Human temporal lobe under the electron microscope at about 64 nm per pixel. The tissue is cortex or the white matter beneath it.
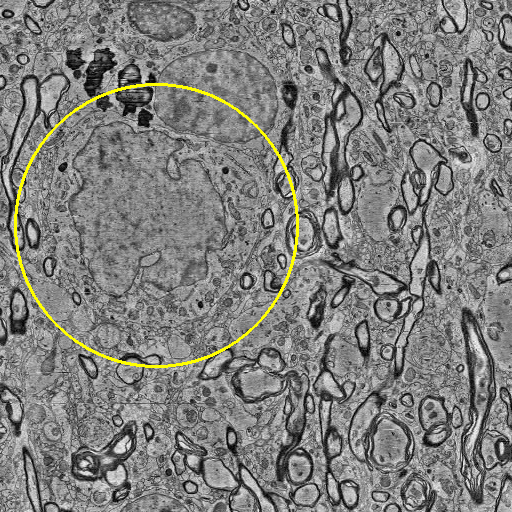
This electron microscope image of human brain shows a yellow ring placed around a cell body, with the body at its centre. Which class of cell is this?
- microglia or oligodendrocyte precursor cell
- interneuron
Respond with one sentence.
The cell body at the ring's centre is an interneuron.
